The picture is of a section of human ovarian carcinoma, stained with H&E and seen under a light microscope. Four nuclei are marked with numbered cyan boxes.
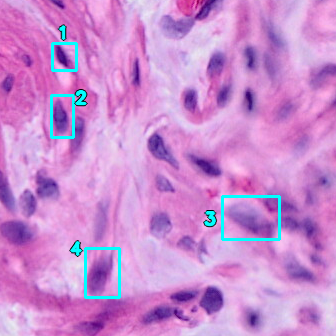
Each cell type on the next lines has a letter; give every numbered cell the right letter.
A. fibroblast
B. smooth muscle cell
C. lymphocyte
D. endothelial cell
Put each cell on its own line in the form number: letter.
1: B
2: B
3: D
4: B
